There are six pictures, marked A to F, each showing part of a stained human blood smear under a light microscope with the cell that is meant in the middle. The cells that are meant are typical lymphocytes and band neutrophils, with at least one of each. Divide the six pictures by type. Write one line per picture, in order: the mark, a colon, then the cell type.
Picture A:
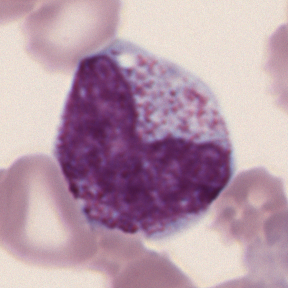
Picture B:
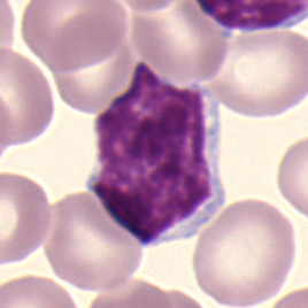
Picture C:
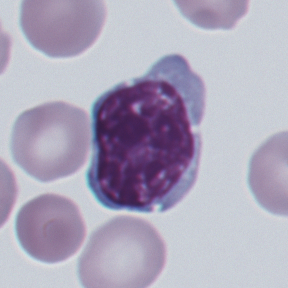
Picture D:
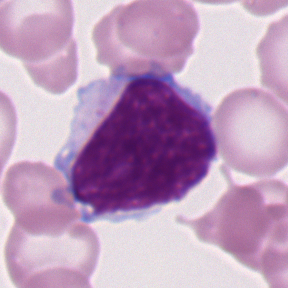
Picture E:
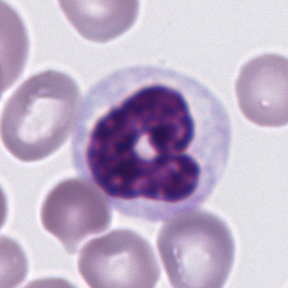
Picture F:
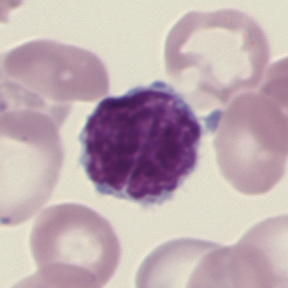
A: band neutrophil
B: typical lymphocyte
C: typical lymphocyte
D: typical lymphocyte
E: band neutrophil
F: typical lymphocyte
